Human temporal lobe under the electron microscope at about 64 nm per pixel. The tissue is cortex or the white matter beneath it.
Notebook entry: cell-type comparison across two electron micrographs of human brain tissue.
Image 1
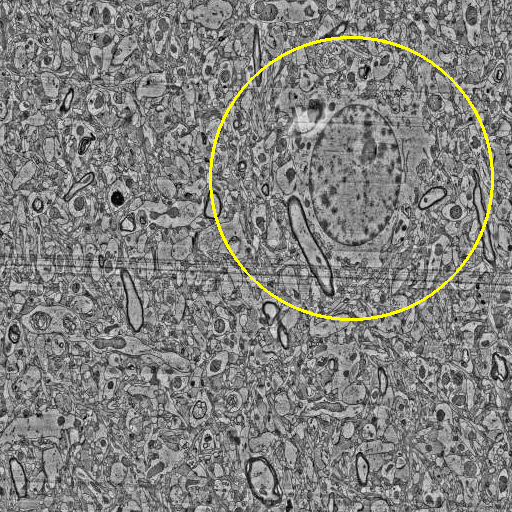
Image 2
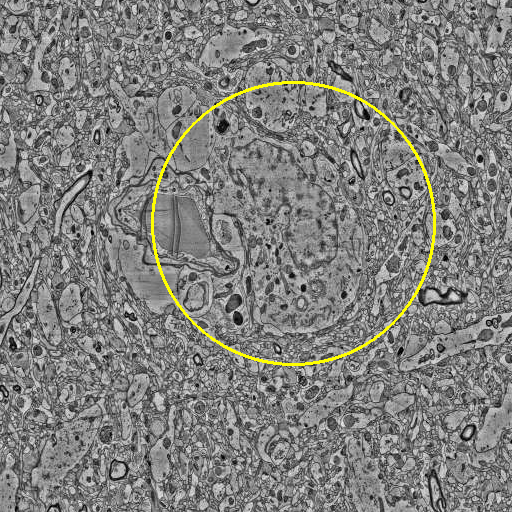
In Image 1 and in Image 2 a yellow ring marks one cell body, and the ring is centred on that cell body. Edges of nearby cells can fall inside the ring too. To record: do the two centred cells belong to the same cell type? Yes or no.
no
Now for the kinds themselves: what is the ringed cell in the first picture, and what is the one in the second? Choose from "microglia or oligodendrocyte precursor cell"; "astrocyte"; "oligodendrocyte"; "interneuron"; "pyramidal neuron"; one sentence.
Here the first cell is an astrocyte and the second cell is an interneuron.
